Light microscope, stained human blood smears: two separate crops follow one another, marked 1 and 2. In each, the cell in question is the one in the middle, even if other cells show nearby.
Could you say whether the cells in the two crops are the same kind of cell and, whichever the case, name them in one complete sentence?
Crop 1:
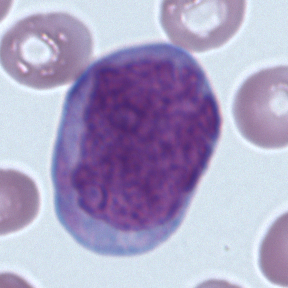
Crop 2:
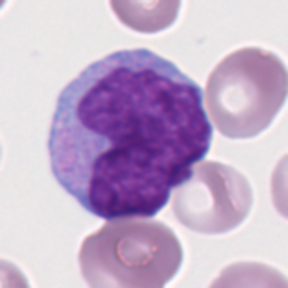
Yes, it is atypical promyelocytes that both crops show.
